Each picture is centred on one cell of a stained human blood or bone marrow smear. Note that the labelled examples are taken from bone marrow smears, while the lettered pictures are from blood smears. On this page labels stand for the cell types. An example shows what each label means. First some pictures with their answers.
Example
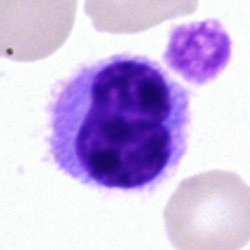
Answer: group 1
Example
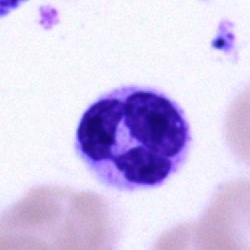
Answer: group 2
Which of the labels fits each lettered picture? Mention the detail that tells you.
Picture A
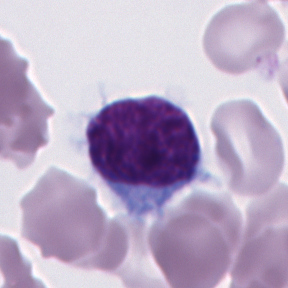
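group 1. The cytoplasm is scant and gathered mainly below the nucleus.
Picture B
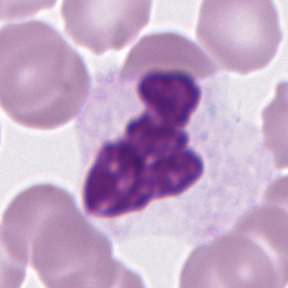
group 2. The nucleus is irregular and folded into several overlapping lobes.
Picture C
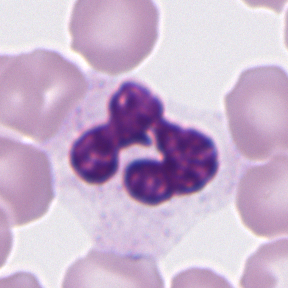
group 2. The cytoplasm is plentiful and very pale pinkish-lilac.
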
